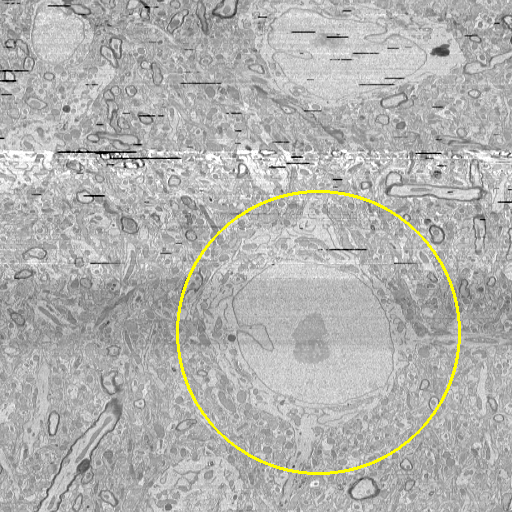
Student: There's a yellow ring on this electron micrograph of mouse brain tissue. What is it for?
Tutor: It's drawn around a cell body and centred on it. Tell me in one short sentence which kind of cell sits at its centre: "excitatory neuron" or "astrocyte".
The cell at the centre of the ring is an excitatory neuron.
